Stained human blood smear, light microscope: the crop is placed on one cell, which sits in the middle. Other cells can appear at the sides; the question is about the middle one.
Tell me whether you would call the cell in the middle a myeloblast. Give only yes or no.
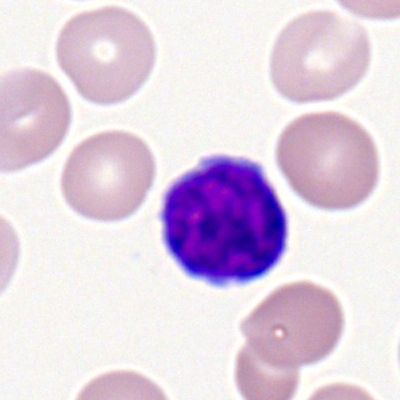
no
